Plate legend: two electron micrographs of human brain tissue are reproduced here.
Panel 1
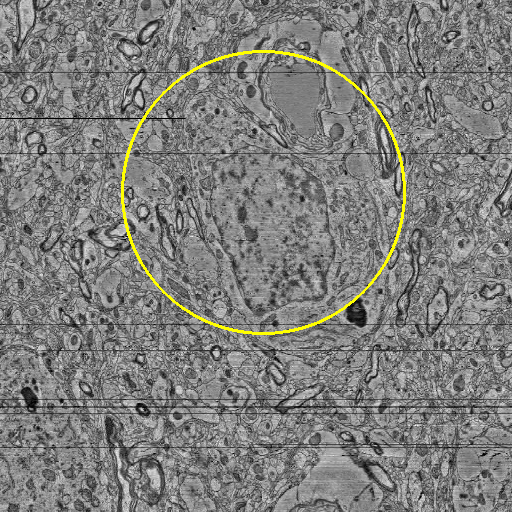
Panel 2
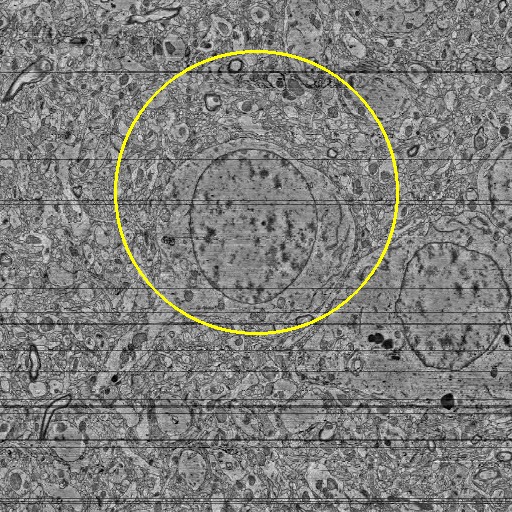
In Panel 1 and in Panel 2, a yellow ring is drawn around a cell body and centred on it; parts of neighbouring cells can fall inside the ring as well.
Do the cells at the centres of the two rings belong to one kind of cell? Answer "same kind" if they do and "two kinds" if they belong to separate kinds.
two kinds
